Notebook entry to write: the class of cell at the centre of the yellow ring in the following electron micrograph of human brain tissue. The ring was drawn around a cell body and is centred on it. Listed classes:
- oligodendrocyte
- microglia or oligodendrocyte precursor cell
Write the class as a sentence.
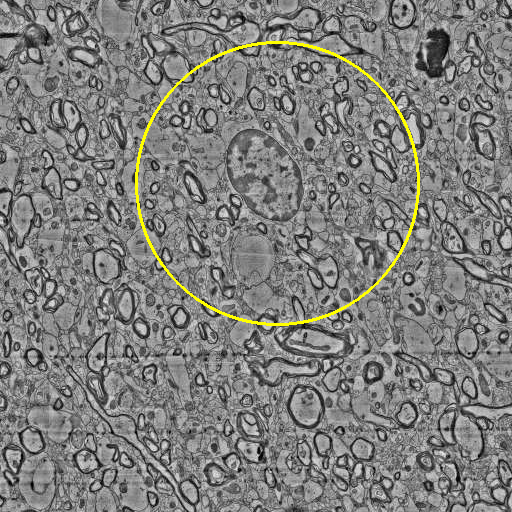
The yellow ring sits on a microglial cell or oligodendrocyte precursor cell.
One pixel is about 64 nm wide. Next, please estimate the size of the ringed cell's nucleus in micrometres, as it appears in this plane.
The nucleus of the ringed cell is clearly longer than it is wide in this plane, about 6 by 4 micrometres.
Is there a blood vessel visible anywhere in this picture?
No, no blood vessel shows in the picture.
